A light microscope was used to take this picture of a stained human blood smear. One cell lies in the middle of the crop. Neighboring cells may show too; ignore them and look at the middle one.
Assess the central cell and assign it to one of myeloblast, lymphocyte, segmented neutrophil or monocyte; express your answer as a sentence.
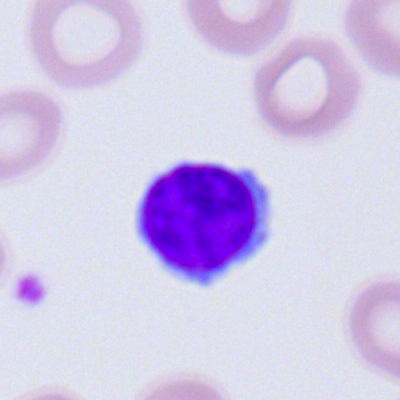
The cell the crop is centered on is a lymphocyte.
